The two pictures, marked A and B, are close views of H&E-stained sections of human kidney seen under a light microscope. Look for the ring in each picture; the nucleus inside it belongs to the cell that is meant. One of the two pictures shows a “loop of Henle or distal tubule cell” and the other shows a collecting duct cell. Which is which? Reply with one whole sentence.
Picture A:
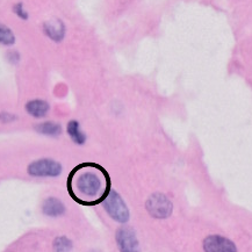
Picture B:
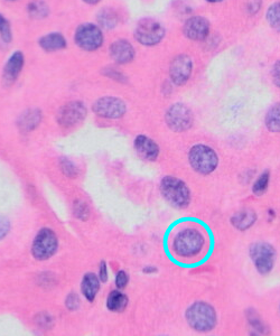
Picture A is of a collecting duct cell, and picture B is of a “loop of Henle or distal tubule cell”.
